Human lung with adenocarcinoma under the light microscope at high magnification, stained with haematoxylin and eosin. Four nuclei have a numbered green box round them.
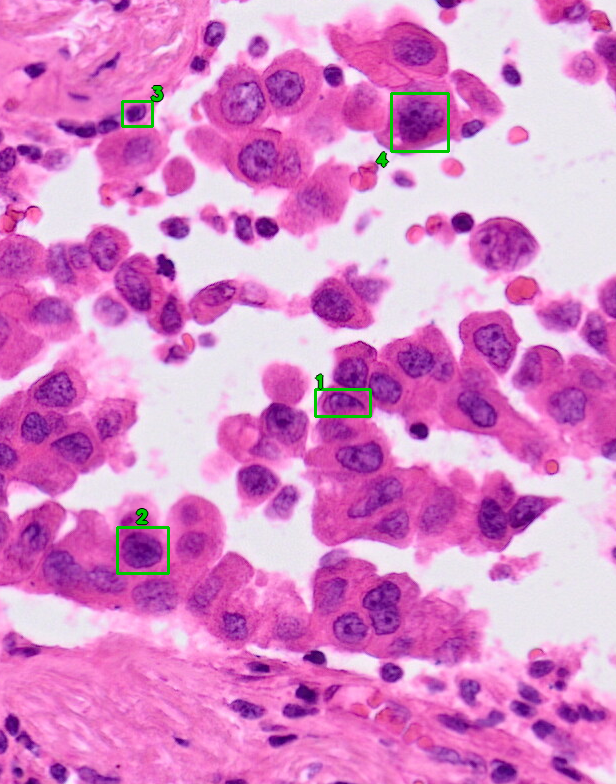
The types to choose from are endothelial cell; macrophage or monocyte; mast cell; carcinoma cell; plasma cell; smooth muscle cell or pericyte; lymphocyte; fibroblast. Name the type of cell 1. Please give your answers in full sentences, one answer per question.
The cell referred to as 1 is a carcinoma cell.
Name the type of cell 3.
The identity of cell 3 is that of a lymphocyte.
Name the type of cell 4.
The numeral 4 marks a carcinoma cell in this section.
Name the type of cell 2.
The cell bearing label 2 corresponds to a carcinoma cell.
